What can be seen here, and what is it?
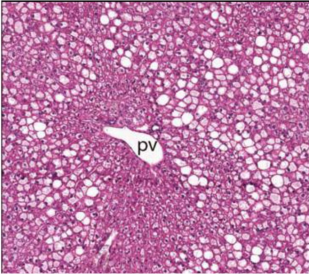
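This is liver tissue in which the hepatocytes are heavily laden with fat. Around a central vessel lie polygonal liver cells with pink cytoplasm and round, dark purple nuclei. Some vacuoles are large and fill most of a cell, others are small and clustered. The vacuolated cells are spread widely through the field, giving the tissue a bubbly, lace-like look in place of the even pink plates of normal liver.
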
